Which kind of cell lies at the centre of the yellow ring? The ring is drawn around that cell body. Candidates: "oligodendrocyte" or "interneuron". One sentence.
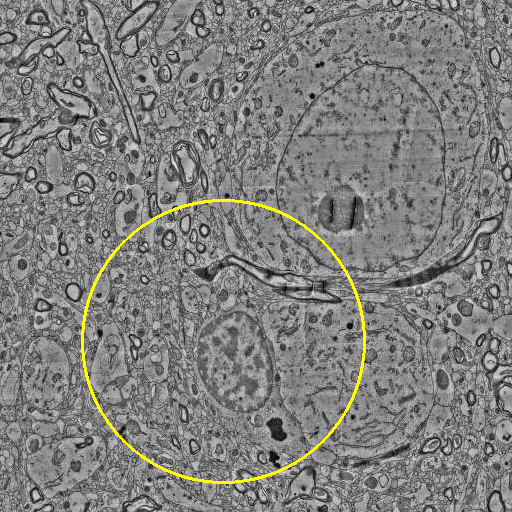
Lying at the centre of the ring is an oligodendrocyte.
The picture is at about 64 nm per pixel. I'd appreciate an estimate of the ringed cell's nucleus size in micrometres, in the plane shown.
Approximately 6 by 5 micrometers in this plane.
